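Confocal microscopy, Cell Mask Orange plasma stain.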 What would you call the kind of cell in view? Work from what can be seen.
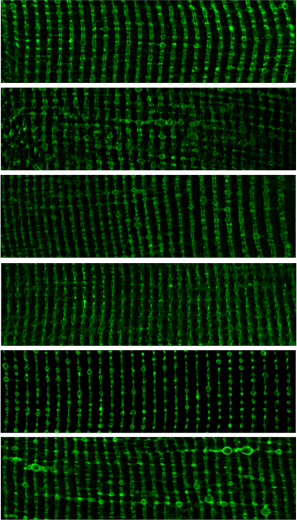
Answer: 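Long, wide cells with a regular cross-striated pattern. Evenly spaced stripes run across the full width of each cell.
Myofibers.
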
